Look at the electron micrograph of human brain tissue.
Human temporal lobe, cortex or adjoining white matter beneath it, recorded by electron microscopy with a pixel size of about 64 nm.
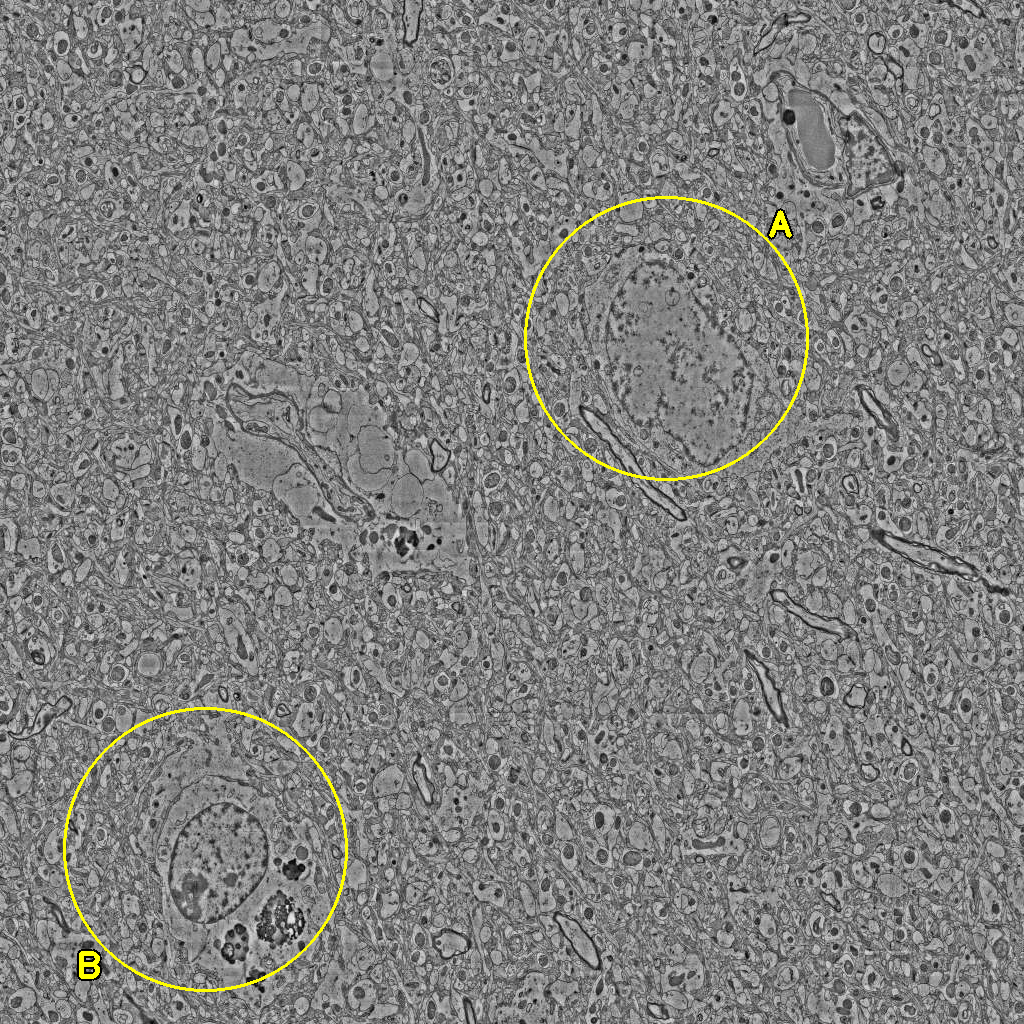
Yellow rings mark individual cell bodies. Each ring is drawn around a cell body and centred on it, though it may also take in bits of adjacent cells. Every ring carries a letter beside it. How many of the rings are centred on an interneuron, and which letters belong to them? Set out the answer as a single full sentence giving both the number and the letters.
The ring labelled A stands alone as the one ring centred on an interneuron.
